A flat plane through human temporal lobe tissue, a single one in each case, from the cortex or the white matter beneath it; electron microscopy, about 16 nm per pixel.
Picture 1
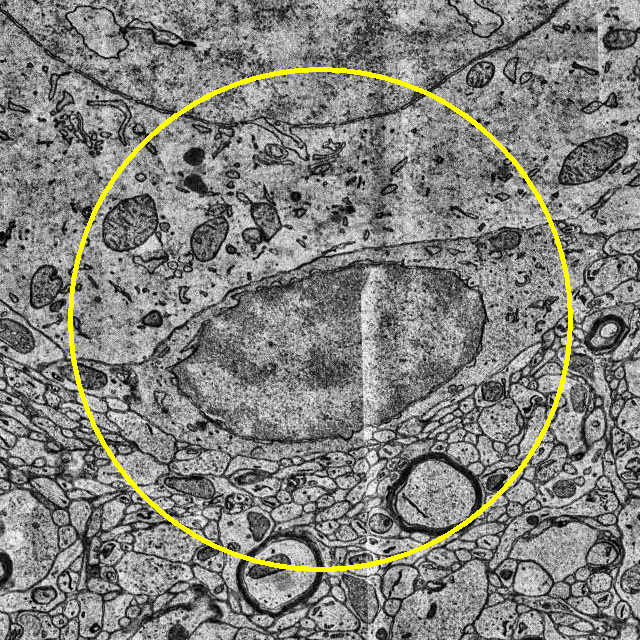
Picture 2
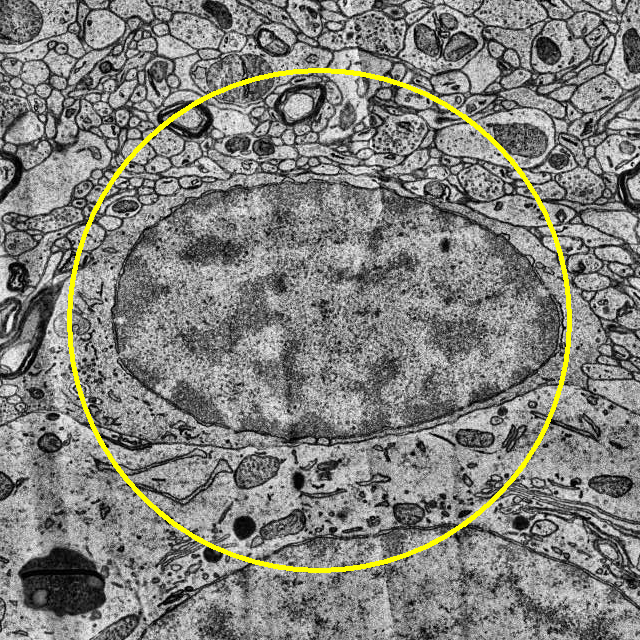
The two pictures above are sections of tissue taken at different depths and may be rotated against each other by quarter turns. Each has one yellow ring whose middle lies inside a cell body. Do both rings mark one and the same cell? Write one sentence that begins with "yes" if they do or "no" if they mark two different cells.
Yes, a single cell lies behind both yellow marks.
